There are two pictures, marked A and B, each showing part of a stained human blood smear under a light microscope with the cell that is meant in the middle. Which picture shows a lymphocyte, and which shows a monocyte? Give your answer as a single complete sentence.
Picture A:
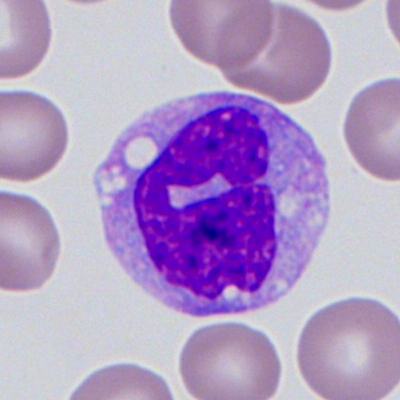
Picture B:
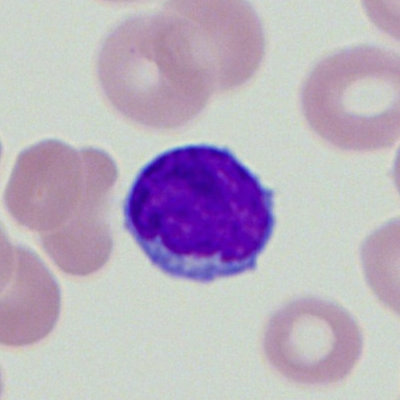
Picture B shows a lymphocyte, while picture A shows a monocyte.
